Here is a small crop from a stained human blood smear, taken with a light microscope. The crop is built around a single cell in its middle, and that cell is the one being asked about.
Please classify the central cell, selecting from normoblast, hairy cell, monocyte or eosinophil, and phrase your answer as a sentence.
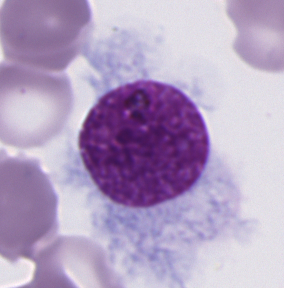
Present in the middle of the crop is a hairy cell.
